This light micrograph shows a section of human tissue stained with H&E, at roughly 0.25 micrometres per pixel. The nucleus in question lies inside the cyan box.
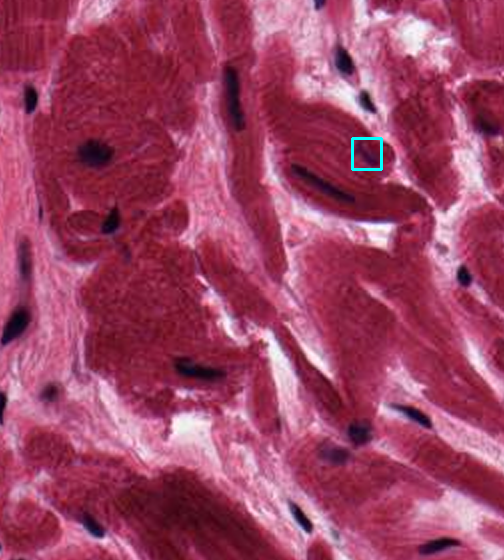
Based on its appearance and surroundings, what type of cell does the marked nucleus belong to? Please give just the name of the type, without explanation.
cardiomyocyte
